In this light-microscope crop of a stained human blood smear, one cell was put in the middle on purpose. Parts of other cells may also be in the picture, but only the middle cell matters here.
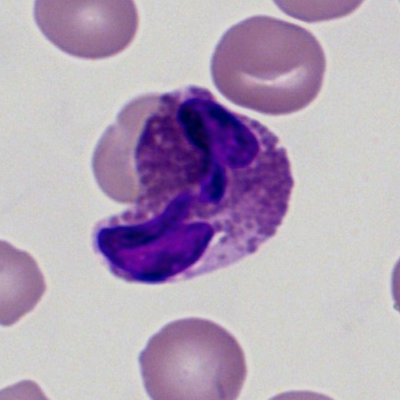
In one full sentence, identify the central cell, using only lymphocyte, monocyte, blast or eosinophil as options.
Seen at the centre of the crop is an eosinophil.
